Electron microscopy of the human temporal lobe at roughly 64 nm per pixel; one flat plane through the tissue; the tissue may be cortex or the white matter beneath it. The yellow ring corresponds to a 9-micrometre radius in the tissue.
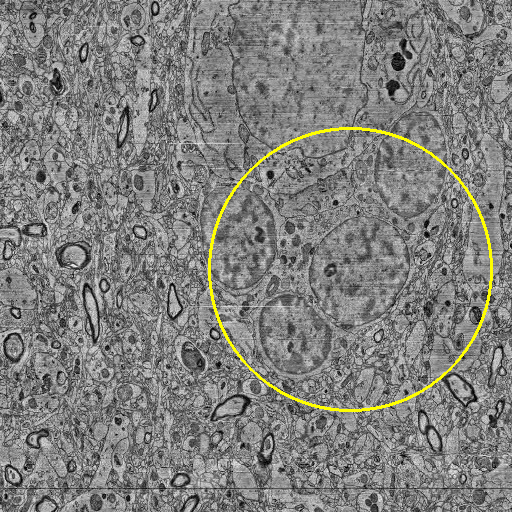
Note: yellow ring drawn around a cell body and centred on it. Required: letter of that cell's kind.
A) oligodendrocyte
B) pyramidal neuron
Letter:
A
